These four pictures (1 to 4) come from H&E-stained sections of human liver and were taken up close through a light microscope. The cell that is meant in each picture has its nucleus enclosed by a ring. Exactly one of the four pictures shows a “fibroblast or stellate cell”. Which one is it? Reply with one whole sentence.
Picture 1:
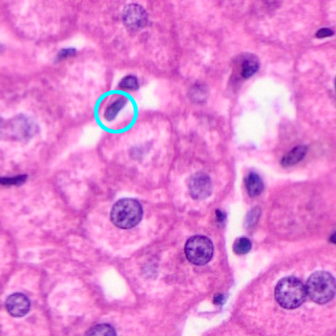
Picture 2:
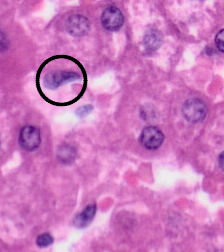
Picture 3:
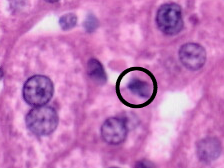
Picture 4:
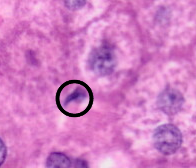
It is picture 3 that shows the “fibroblast or stellate cell”.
